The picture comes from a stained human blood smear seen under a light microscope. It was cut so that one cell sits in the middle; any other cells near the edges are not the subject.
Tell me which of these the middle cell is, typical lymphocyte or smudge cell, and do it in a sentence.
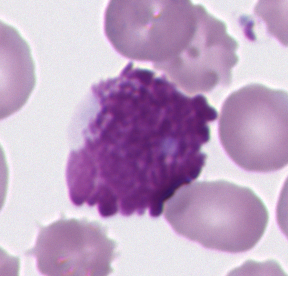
The cell in the middle of this crop is a smudge cell.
